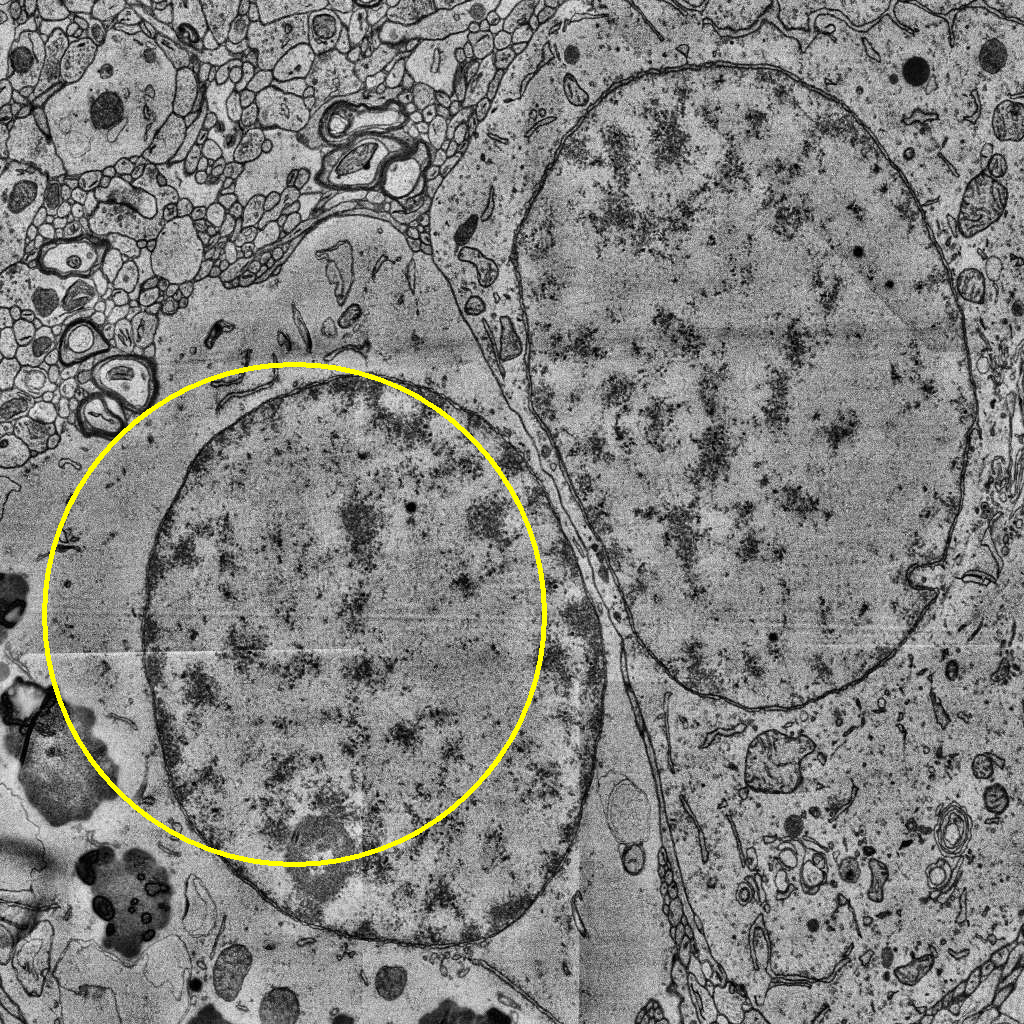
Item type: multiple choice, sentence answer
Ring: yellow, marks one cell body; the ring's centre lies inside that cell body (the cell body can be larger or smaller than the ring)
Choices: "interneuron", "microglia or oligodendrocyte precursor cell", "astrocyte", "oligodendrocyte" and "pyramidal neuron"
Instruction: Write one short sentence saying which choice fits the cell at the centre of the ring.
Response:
The centre of this ring lies on an astrocyte.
